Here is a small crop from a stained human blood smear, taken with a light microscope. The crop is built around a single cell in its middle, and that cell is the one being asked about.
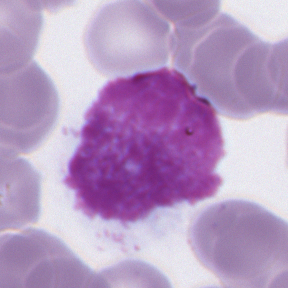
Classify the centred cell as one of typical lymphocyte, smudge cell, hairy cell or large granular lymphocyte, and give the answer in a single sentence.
The central cell in this smear crop is a smudge cell.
